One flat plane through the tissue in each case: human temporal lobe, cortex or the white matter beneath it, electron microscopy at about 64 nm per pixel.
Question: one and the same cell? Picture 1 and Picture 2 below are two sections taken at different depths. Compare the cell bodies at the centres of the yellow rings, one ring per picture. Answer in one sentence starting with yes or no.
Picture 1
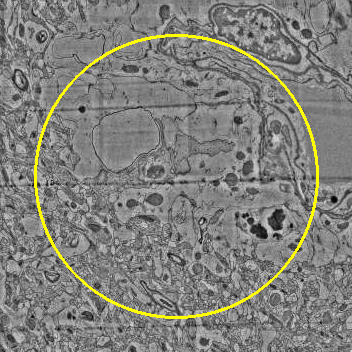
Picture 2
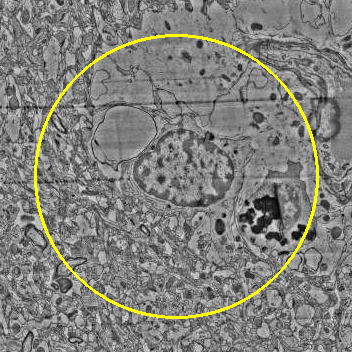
Yes, the two rings mark one cell and not separate cells.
